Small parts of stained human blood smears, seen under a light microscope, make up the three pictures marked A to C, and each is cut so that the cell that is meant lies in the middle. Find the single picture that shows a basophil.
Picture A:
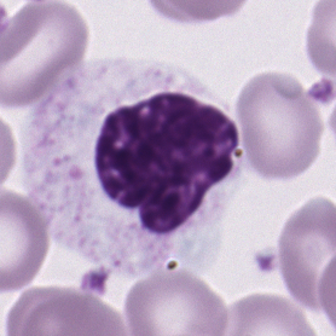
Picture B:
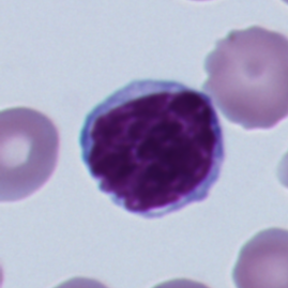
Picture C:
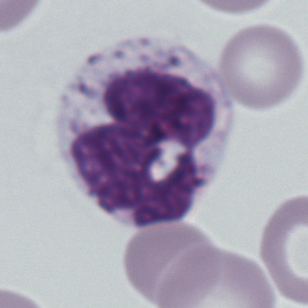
C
